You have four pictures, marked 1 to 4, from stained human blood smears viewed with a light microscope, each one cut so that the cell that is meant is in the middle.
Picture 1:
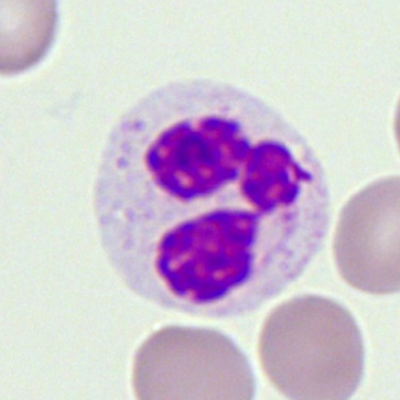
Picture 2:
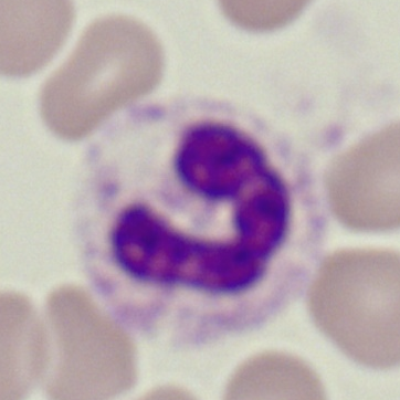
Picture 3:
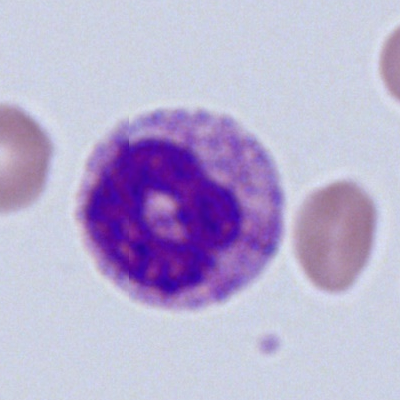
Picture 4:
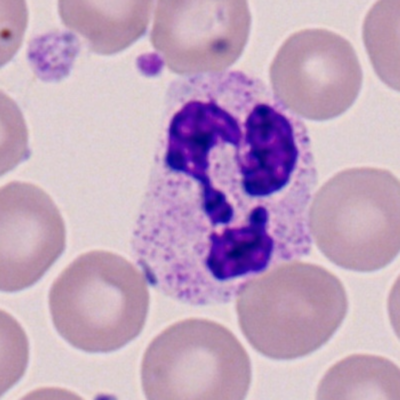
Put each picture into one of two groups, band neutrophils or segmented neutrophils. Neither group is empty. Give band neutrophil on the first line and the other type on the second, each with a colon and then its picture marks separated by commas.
band neutrophil: 2, 3
segmented neutrophil: 1, 4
